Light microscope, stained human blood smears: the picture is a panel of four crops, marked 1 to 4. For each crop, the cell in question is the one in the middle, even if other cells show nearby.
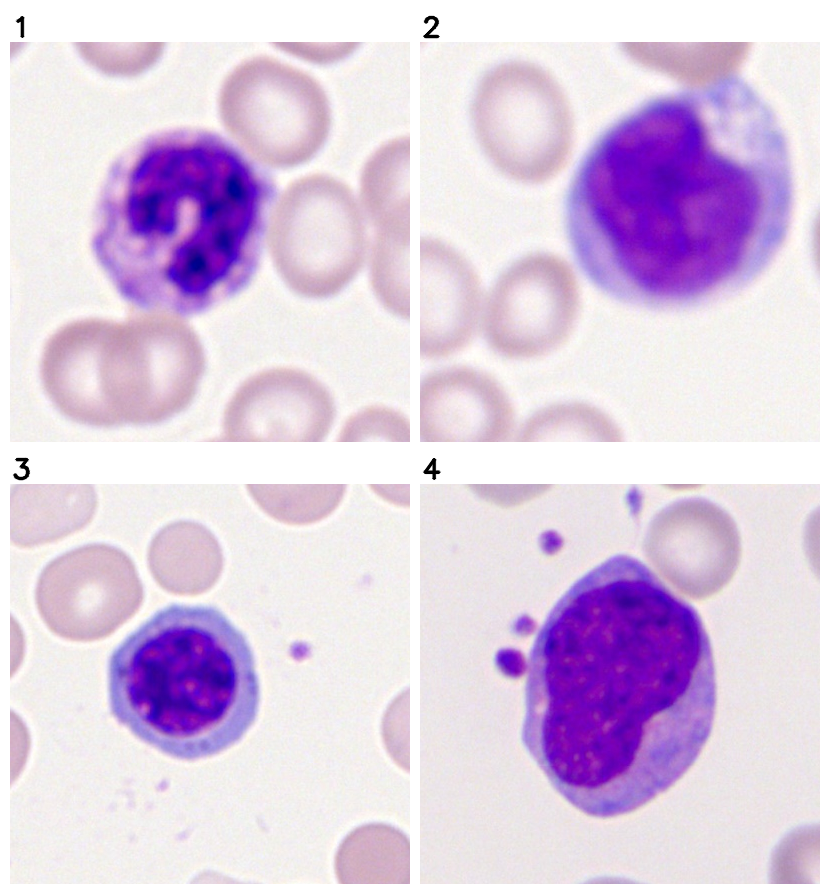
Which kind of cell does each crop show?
1: band neutrophil
2: monocyte
3: erythroblast
4: myeloblast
